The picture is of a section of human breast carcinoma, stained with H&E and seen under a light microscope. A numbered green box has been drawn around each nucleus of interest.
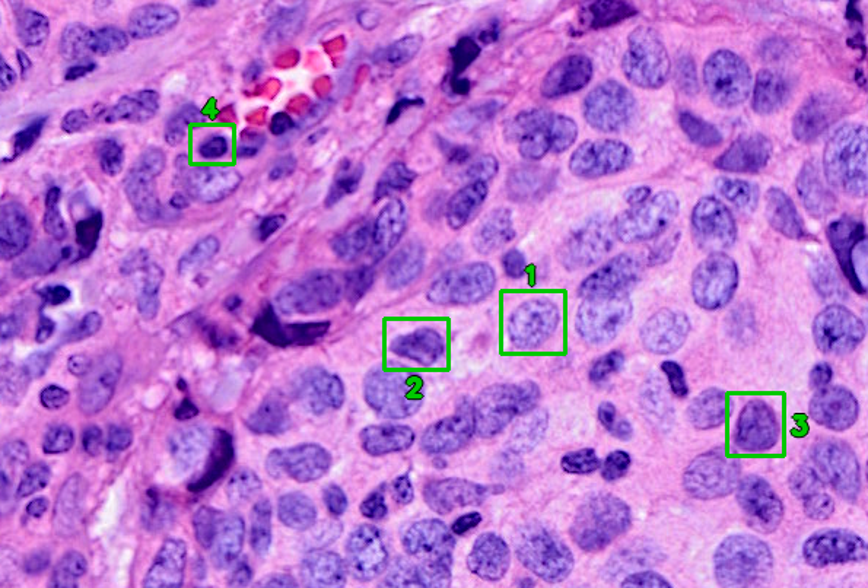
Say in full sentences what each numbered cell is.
Cell 1 is a carcinoma cell, cell 2 is a carcinoma cell, cell 3 is a carcinoma cell and cell 4 is a lymphocyte.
